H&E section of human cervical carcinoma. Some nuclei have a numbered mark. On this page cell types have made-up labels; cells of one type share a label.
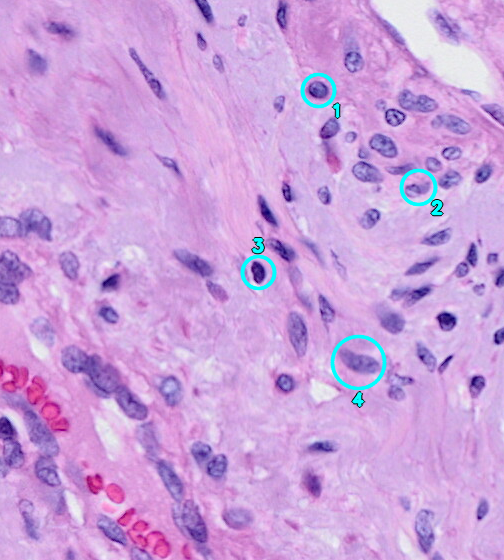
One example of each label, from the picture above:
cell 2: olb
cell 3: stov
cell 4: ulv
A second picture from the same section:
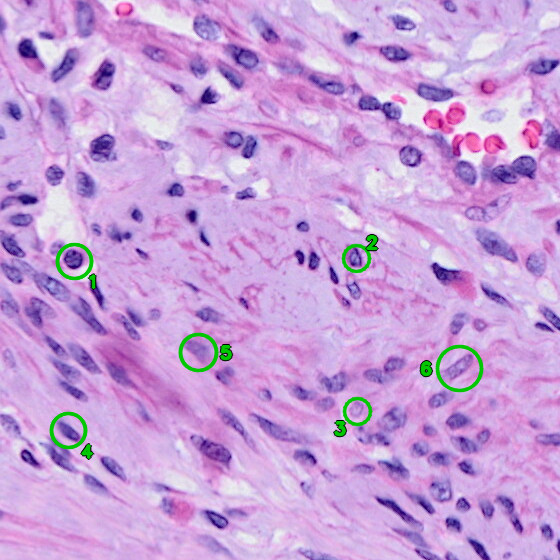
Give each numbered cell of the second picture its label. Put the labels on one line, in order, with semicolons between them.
stov; olb; olb; ulv; olb; olb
